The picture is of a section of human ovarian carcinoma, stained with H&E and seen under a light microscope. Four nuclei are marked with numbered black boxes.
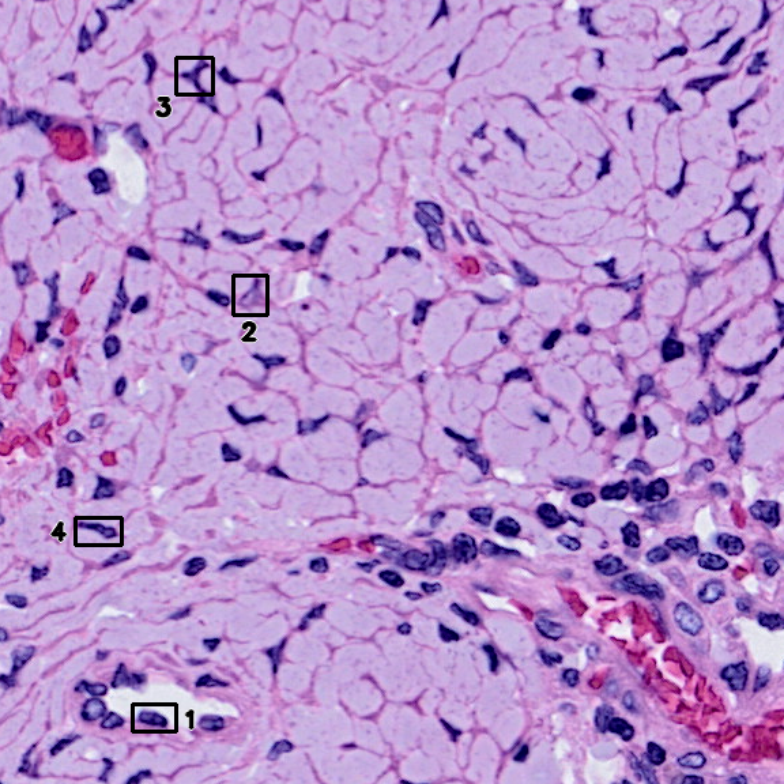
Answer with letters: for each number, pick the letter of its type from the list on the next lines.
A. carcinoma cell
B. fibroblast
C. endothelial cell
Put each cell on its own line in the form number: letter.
1: C
2: B
3: B
4: B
